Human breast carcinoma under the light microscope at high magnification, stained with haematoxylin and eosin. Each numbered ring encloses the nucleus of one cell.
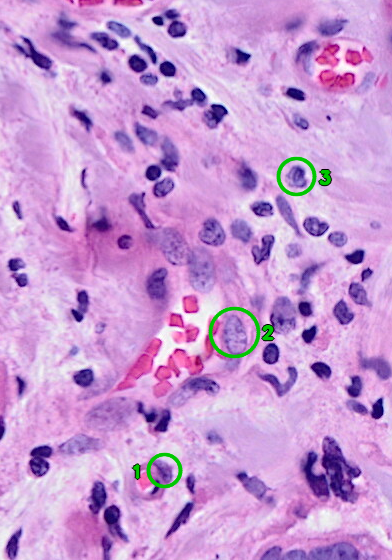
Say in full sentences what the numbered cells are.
Cell 1 is an endothelial cell, cell 2 is an endothelial cell and cell 3 is a lymphocyte.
